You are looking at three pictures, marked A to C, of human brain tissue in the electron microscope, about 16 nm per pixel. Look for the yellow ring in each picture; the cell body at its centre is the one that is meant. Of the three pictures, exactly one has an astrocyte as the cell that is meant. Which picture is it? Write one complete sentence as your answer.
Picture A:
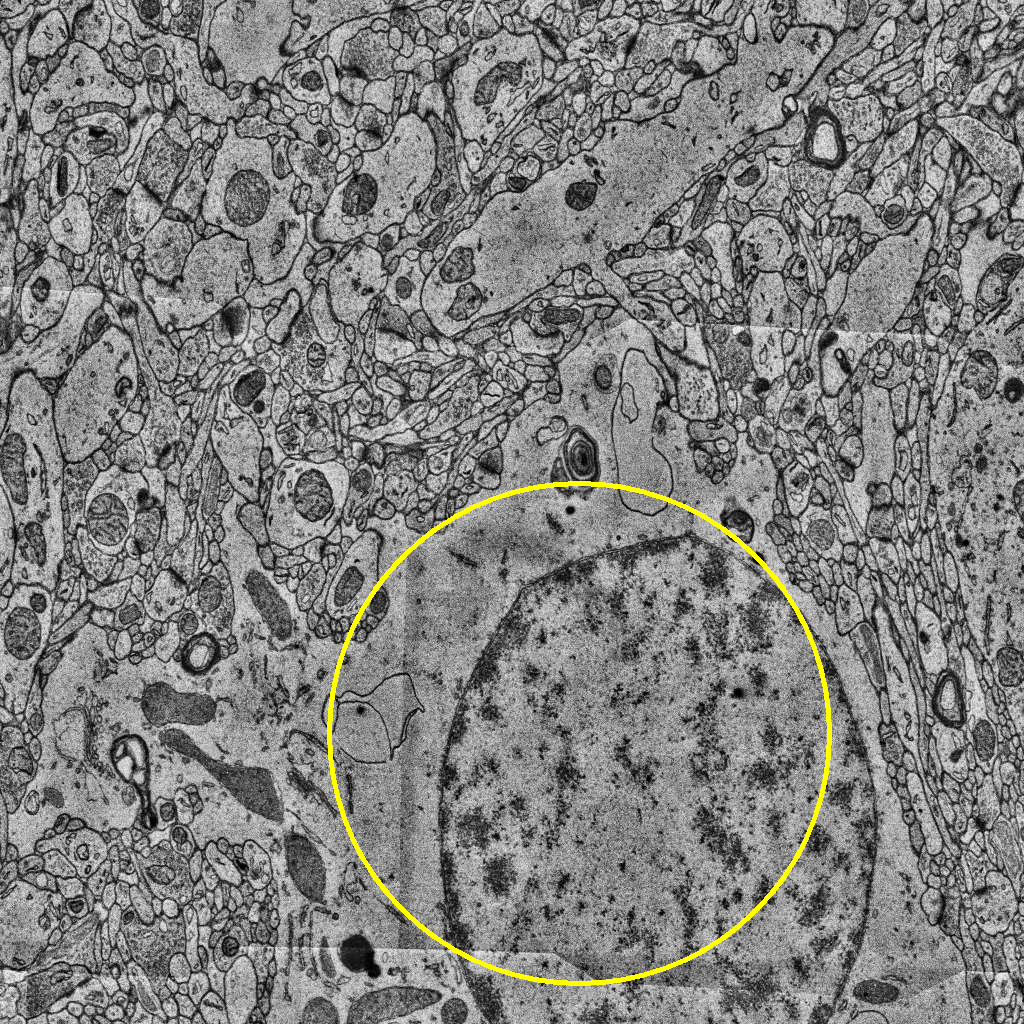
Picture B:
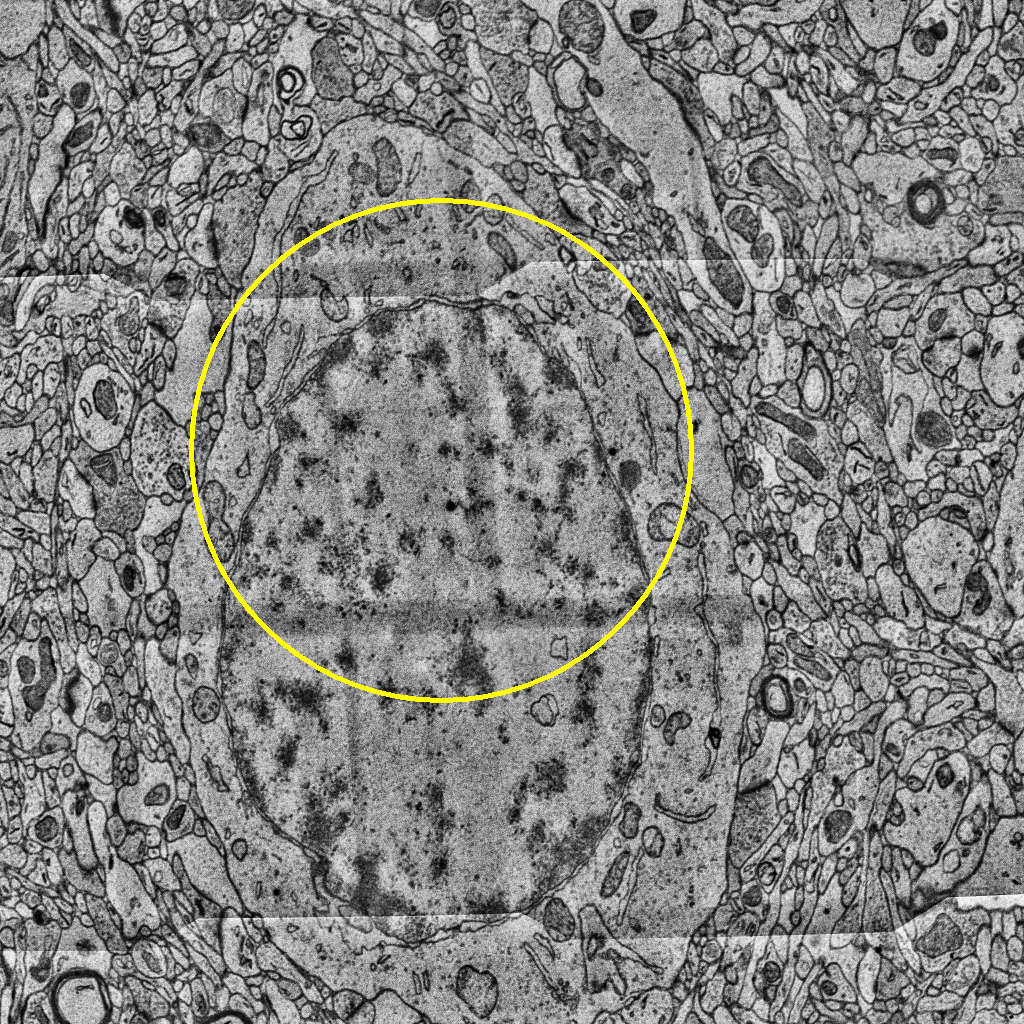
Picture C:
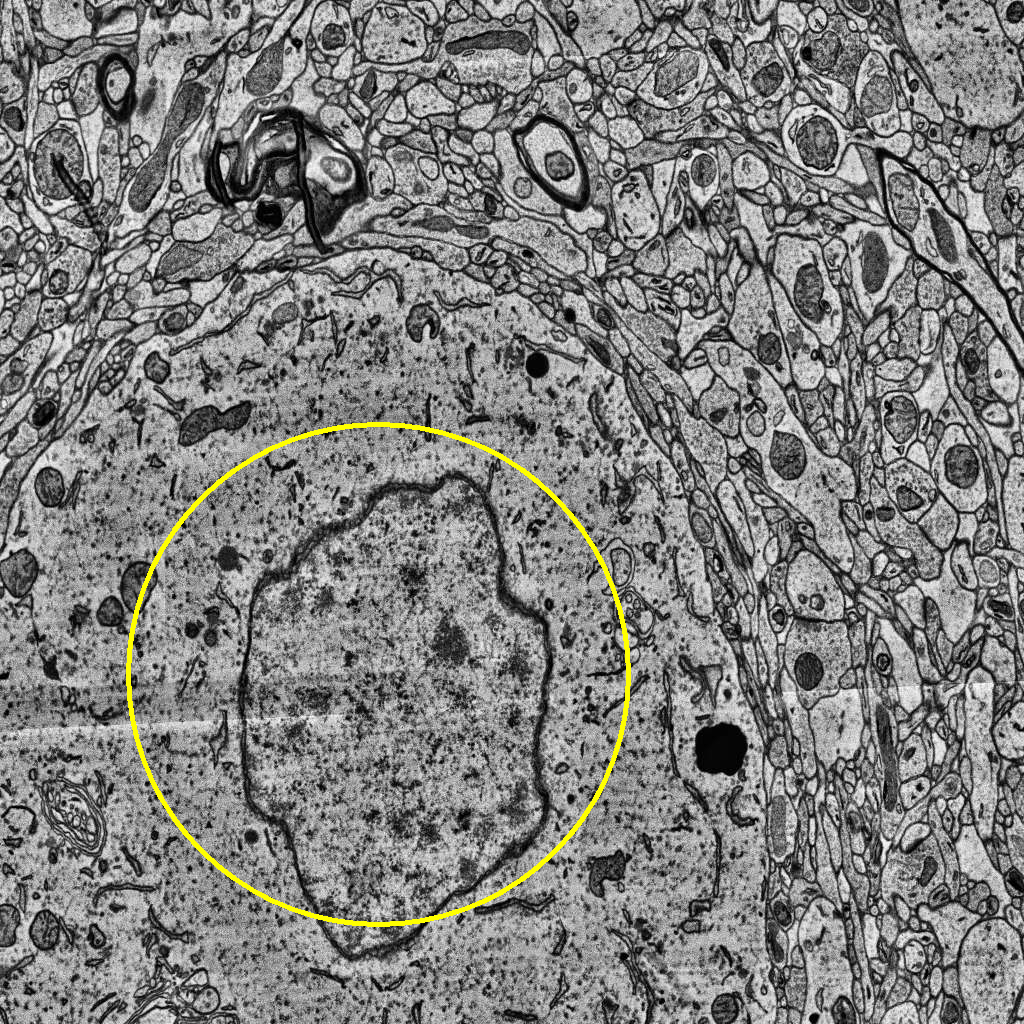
The astrocyte is the one in picture A.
